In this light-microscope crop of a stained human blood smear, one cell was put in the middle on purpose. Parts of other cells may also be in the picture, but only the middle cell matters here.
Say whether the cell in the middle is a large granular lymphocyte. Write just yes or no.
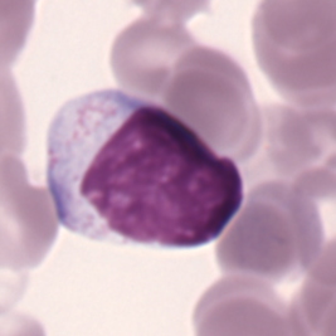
yes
